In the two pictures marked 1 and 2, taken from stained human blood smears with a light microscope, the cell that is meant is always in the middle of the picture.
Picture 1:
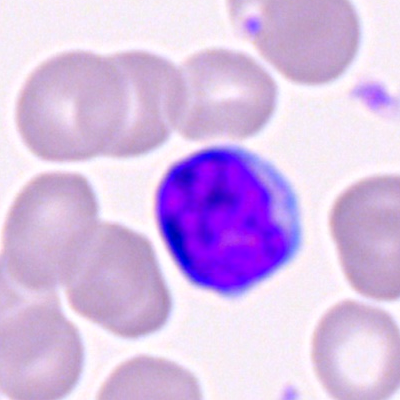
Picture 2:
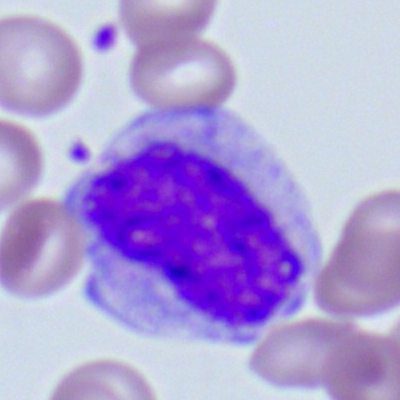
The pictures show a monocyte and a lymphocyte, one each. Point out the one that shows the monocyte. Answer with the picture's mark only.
2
